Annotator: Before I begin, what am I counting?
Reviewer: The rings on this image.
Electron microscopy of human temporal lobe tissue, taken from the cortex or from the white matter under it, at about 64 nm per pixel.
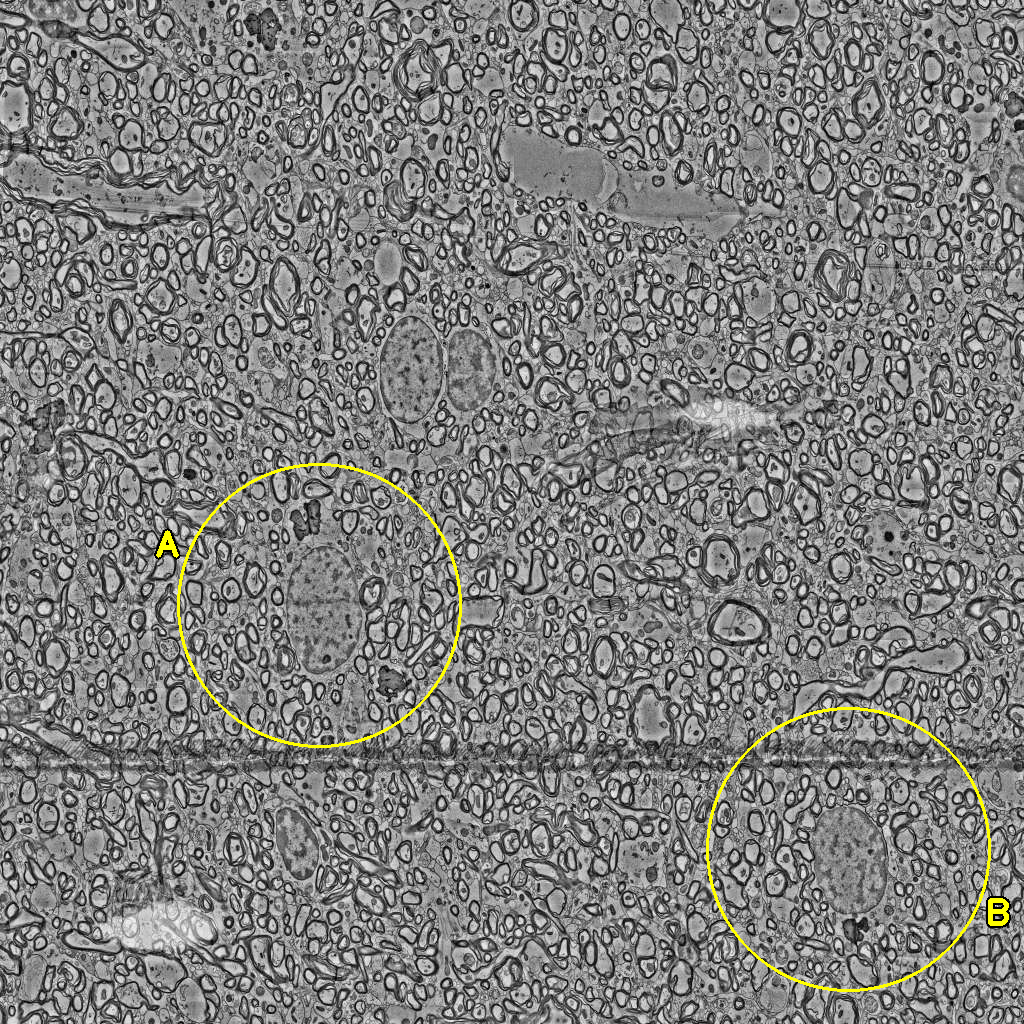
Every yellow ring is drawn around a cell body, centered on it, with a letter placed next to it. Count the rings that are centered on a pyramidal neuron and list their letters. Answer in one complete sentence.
No yellow ring takes a pyramidal neuron as its centre, and the count is zero as a result.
